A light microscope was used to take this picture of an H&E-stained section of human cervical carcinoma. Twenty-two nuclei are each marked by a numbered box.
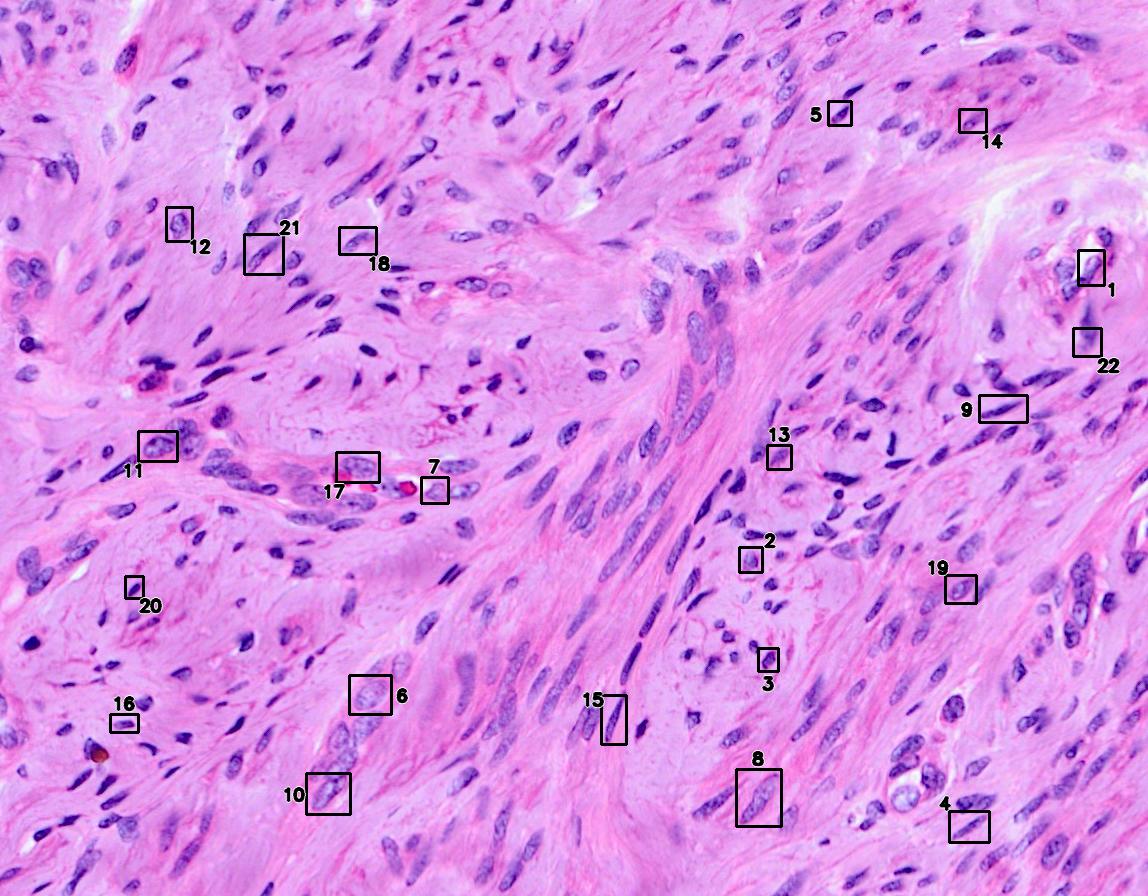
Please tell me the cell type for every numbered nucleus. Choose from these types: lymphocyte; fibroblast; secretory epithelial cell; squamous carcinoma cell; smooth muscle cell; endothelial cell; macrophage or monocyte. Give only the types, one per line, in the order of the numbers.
endothelial cell
smooth muscle cell
smooth muscle cell
fibroblast
fibroblast
endothelial cell
endothelial cell
smooth muscle cell
fibroblast
endothelial cell
endothelial cell
smooth muscle cell
smooth muscle cell
smooth muscle cell
fibroblast
fibroblast
endothelial cell
fibroblast
smooth muscle cell
fibroblast
fibroblast
fibroblast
